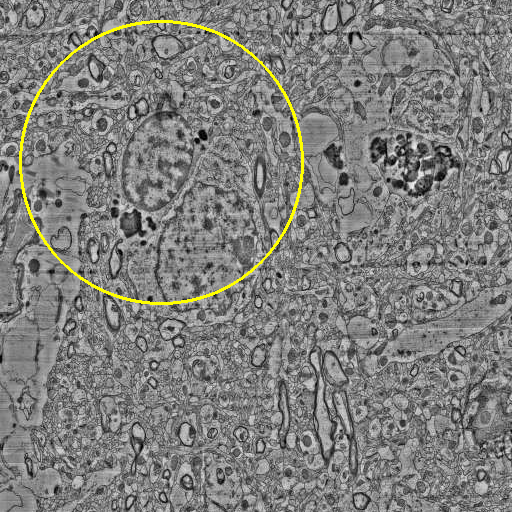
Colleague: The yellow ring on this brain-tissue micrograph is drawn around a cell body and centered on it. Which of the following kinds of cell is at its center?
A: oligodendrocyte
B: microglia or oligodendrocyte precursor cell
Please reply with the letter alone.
A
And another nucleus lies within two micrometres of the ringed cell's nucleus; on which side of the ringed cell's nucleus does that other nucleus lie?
That other nucleus appears to the lower right of it.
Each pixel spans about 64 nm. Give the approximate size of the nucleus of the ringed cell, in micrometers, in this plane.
In this plane, the nucleus is roughly 6 by 4 micrometres.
